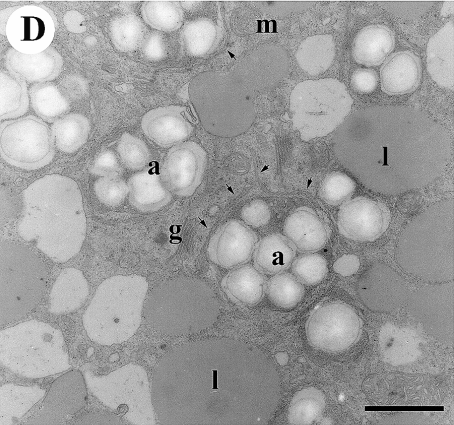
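The amyloplasts are large rounded organelles packed with clusters of many bright, round starch granules, each with a thin dark rim. Between them lie numerous large, evenly grey, round lipid bodies, with a Golgi stack and small membranes in the cytoplasm between. Thin membranes run closely around the amyloplasts.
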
